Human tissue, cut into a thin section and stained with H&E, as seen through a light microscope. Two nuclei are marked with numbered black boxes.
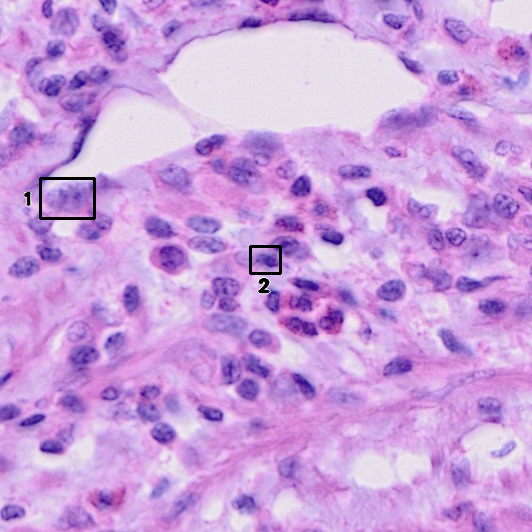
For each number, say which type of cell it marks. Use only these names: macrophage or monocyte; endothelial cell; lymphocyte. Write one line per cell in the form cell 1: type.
cell 1: endothelial cell
cell 2: lymphocyte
